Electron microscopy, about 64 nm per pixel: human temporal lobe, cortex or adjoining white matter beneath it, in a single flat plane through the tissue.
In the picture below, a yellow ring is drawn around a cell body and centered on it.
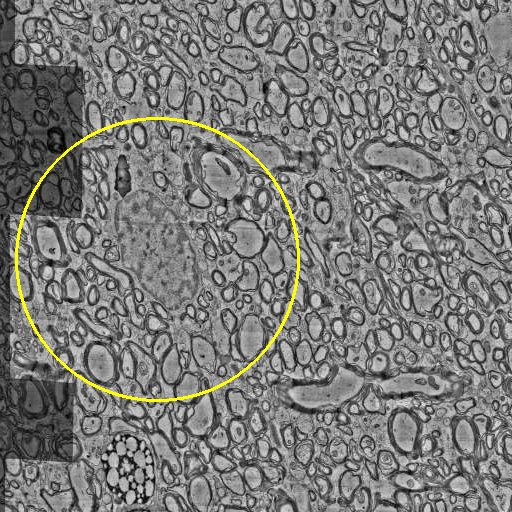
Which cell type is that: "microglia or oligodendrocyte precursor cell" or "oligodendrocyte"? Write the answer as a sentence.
The cell centered in the ring is an oligodendrocyte.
